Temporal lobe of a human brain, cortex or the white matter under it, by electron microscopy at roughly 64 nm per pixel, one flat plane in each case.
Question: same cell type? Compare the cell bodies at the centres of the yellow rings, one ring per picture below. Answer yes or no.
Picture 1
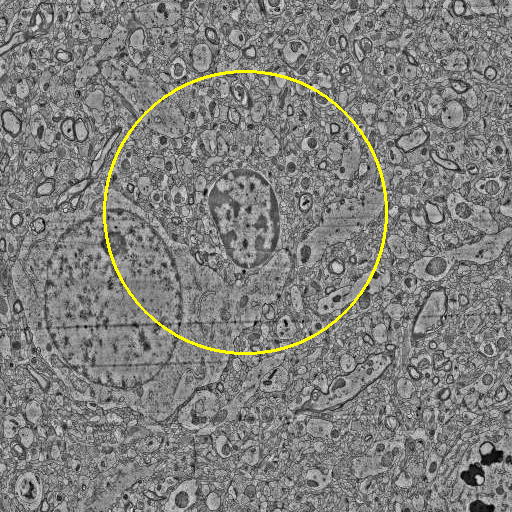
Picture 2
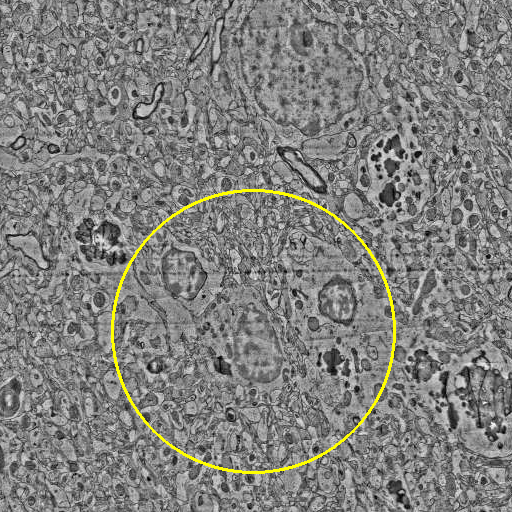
no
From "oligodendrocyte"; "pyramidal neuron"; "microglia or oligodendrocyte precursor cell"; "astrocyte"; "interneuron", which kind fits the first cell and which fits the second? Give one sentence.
The cell marked in the first picture is a microglial cell or oligodendrocyte precursor cell, and the one marked in the second is an oligodendrocyte.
